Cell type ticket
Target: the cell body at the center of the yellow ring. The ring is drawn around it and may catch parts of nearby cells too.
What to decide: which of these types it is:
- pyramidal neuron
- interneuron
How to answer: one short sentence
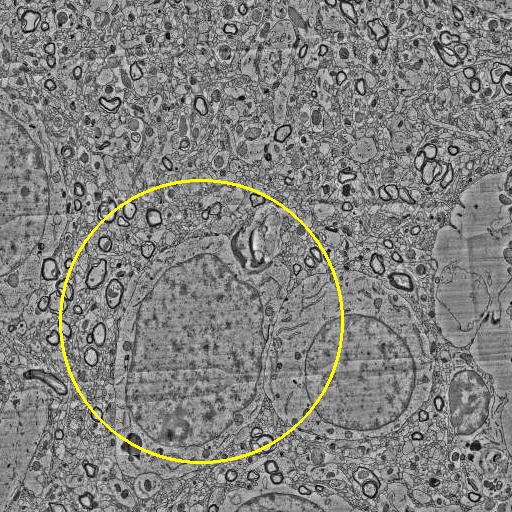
The cell at the center of the ring is an interneuron.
